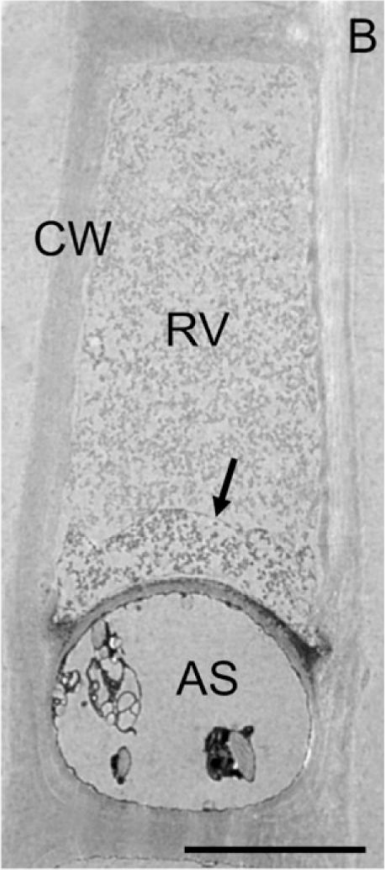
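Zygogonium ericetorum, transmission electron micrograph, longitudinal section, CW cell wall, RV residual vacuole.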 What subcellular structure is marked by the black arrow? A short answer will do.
Membrane.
